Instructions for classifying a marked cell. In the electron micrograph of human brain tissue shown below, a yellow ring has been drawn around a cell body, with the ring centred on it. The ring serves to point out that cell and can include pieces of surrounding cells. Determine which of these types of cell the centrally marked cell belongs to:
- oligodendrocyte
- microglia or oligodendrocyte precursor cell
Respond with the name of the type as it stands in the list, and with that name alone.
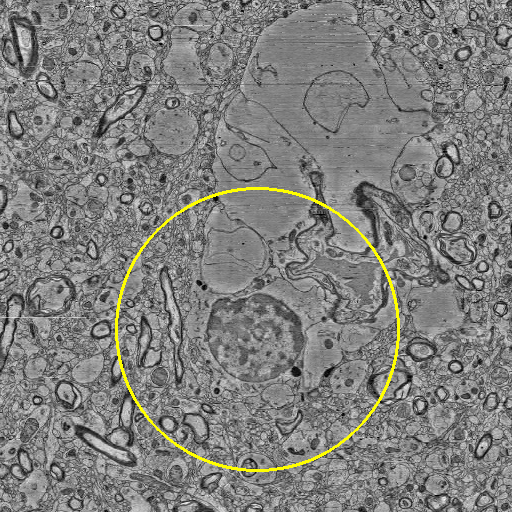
microglia or oligodendrocyte precursor cell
